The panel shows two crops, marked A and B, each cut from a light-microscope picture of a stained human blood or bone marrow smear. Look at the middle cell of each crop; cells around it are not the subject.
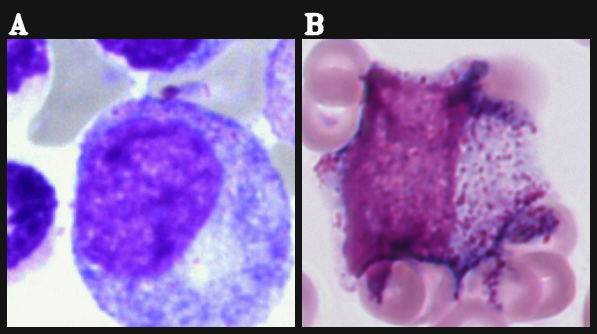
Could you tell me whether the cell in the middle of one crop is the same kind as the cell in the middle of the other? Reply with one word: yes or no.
yes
